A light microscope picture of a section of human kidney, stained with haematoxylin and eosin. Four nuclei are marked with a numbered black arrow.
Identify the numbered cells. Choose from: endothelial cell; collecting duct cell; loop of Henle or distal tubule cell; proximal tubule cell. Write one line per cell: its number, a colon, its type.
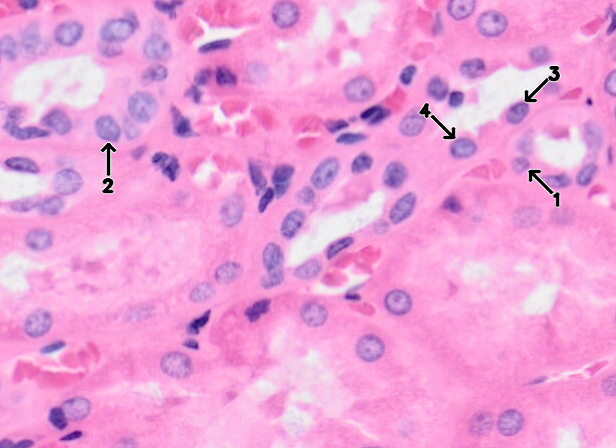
1: collecting duct cell
2: collecting duct cell
3: loop of Henle or distal tubule cell
4: loop of Henle or distal tubule cell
